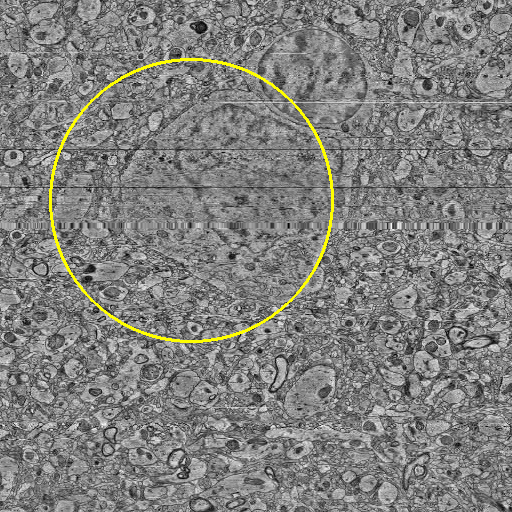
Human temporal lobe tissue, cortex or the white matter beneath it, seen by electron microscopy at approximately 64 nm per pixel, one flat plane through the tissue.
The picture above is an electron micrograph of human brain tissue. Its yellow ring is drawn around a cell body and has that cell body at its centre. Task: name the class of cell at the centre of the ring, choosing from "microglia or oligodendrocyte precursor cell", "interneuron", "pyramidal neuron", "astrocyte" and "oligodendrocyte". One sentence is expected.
The ring surrounds the body of an interneuron.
